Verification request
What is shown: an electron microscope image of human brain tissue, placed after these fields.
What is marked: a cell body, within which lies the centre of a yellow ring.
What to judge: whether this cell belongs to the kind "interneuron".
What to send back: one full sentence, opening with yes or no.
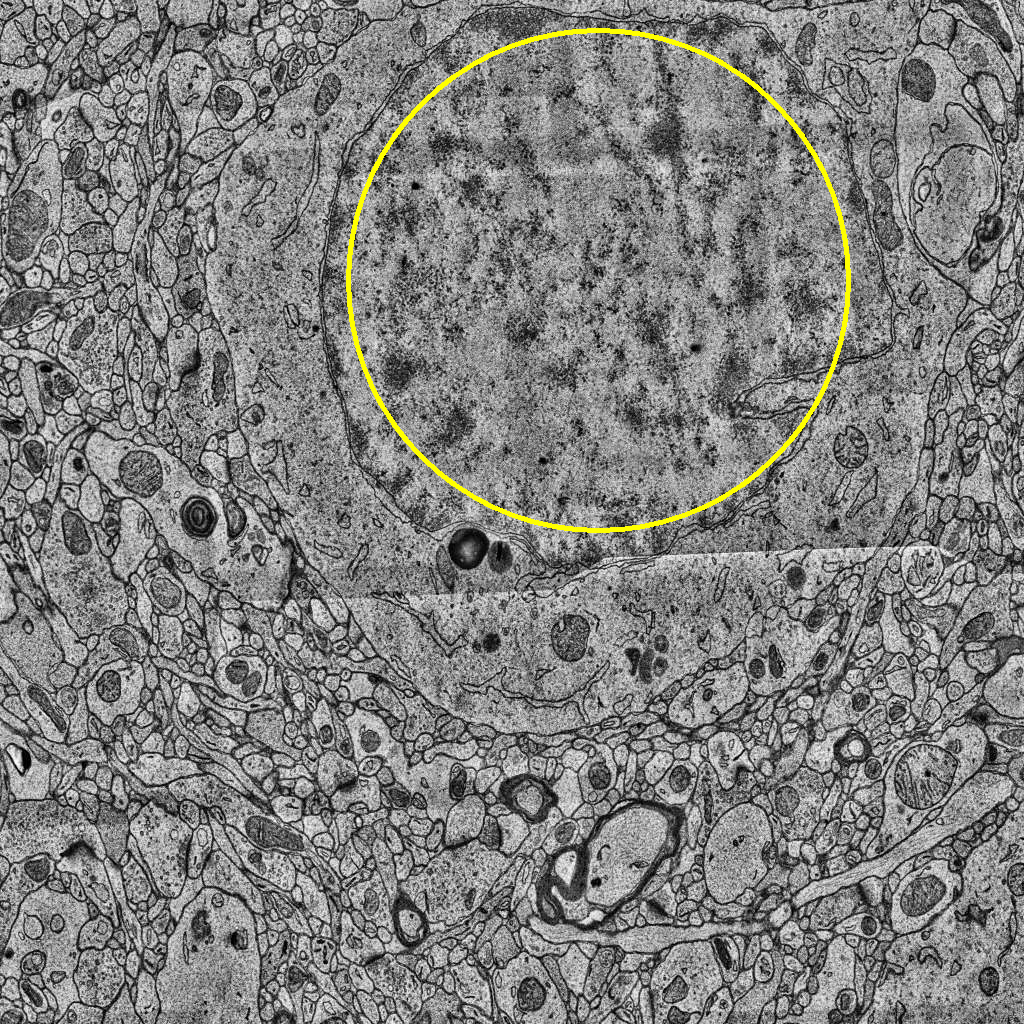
Yes, the cell whose body holds the centre of the yellow ring in the picture is of that kind.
